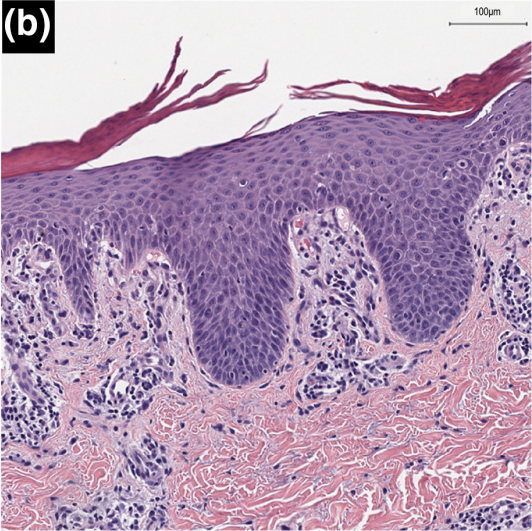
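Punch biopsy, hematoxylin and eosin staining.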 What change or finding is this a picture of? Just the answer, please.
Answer: Psoriasiform acanthosis.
